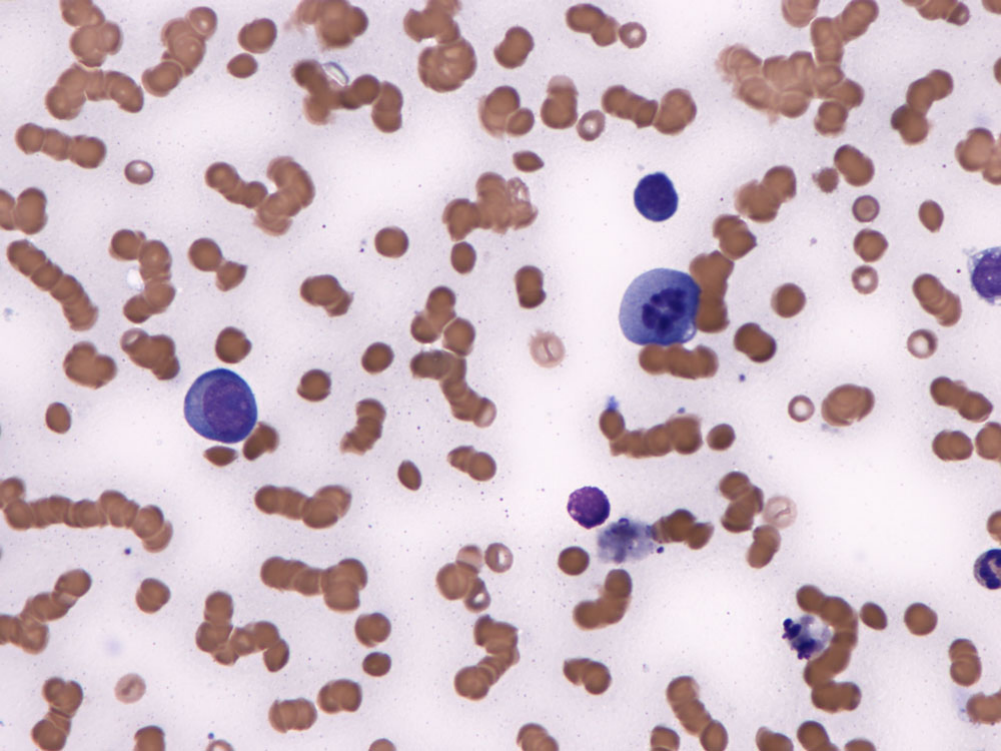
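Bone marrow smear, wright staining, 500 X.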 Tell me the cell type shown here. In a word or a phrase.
Plasma cells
